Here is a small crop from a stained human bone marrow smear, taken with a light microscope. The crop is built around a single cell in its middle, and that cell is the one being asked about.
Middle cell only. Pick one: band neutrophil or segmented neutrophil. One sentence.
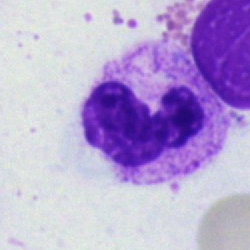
The cell centred in this crop is categorized as a segmented neutrophil.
